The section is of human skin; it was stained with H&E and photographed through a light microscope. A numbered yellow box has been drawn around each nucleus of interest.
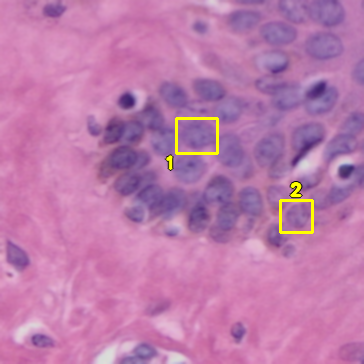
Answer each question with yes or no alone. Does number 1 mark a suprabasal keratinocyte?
yes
